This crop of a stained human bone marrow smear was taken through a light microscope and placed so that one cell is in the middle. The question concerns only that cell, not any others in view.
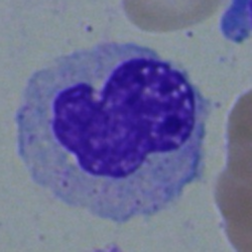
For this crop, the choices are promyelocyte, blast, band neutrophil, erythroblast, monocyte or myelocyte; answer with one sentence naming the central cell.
In the centre of this crop there is a monocyte.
